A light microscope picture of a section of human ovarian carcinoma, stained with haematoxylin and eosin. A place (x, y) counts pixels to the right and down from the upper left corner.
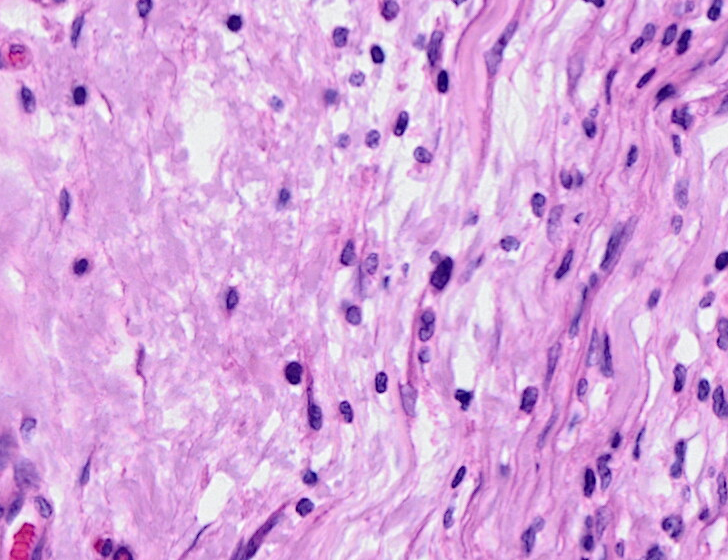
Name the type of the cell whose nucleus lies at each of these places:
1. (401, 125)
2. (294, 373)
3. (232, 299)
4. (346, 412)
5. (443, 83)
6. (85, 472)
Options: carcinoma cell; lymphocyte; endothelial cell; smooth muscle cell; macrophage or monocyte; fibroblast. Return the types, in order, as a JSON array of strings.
["lymphocyte", "lymphocyte", "macrophage or monocyte", "lymphocyte", "lymphocyte", "fibroblast"]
